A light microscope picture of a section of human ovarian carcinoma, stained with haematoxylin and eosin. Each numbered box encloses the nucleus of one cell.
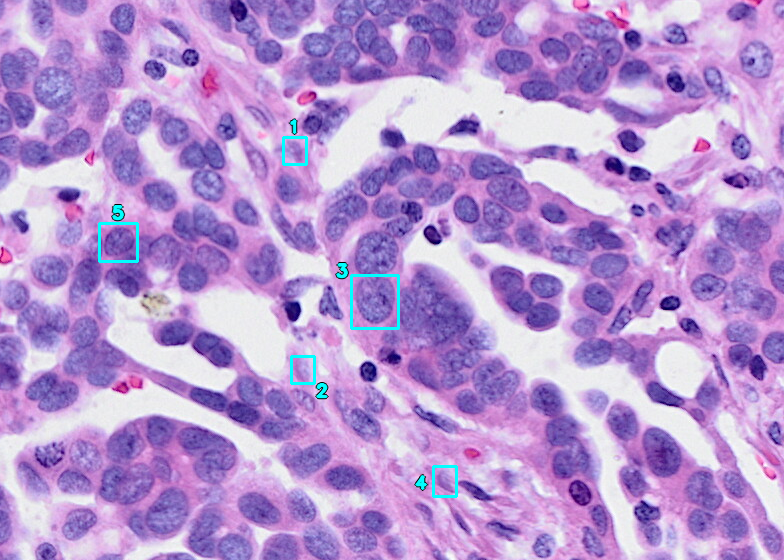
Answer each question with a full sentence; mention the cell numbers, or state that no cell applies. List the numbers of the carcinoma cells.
Classified as carcinoma cells are the cells numbered 3 and 5.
